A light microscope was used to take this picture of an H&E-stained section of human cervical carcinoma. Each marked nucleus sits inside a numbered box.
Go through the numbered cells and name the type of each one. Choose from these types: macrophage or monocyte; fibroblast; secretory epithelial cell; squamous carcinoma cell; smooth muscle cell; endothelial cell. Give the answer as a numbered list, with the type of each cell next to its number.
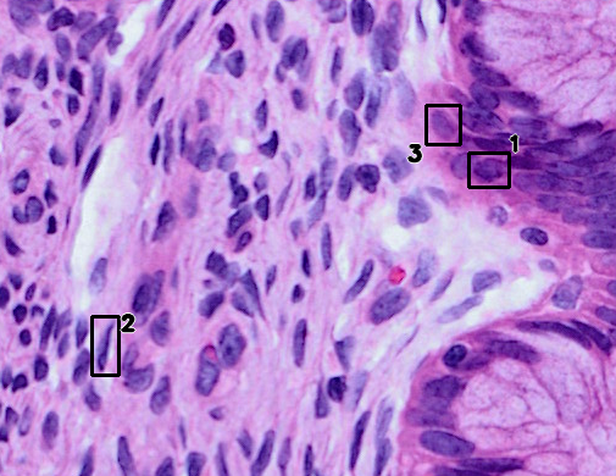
1. secretory epithelial cell
2. fibroblast
3. secretory epithelial cell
